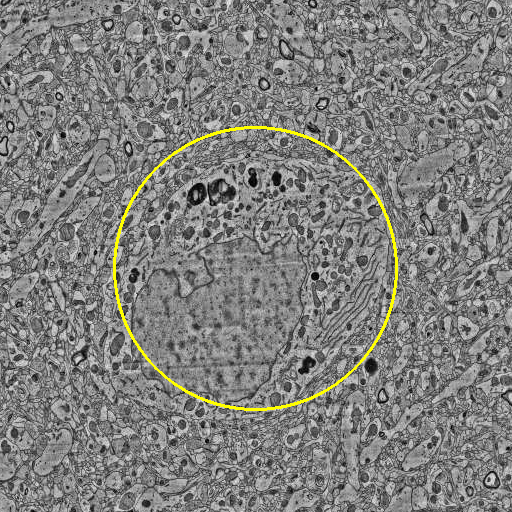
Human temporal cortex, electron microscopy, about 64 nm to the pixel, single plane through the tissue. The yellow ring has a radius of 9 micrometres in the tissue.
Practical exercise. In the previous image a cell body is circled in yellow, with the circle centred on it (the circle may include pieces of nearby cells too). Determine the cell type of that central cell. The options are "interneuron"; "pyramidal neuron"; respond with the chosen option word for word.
interneuron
